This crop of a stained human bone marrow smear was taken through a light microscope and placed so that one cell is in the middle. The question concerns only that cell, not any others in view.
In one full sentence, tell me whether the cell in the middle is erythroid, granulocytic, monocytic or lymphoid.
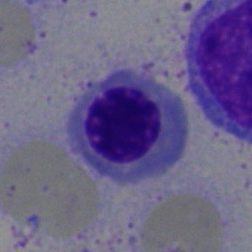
Regarding lineage, the cell in the center of this crop should be listed as erythroid.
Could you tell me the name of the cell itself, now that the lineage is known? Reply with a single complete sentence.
The crop's centre is taken up by an erythroblast.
